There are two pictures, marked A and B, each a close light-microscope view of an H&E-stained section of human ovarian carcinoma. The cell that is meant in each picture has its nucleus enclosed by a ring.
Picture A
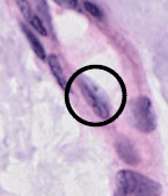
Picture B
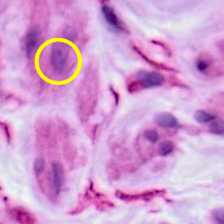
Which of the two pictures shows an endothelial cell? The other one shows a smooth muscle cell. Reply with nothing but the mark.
A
